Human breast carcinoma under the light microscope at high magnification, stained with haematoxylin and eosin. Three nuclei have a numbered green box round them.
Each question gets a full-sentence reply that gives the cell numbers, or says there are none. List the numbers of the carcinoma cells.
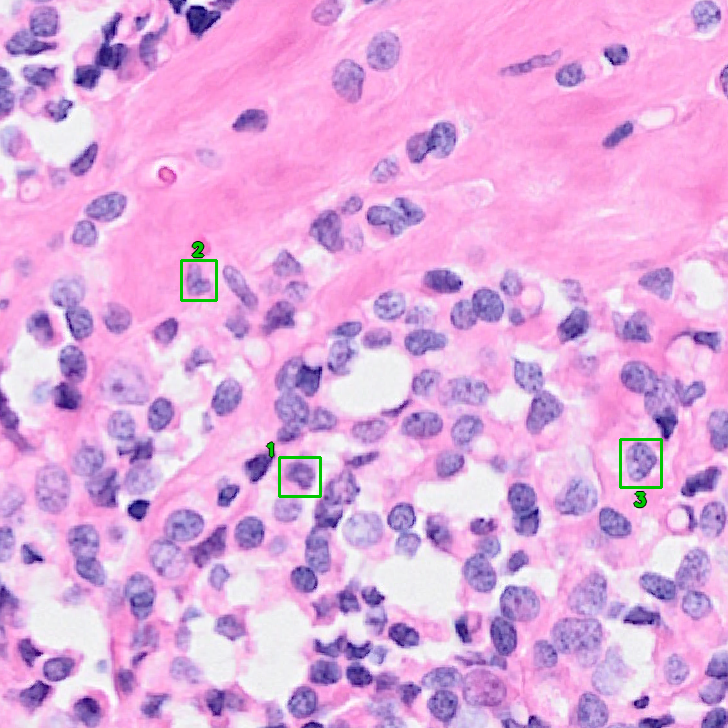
Cells 1 and 3 in the section are typed as carcinoma cells.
